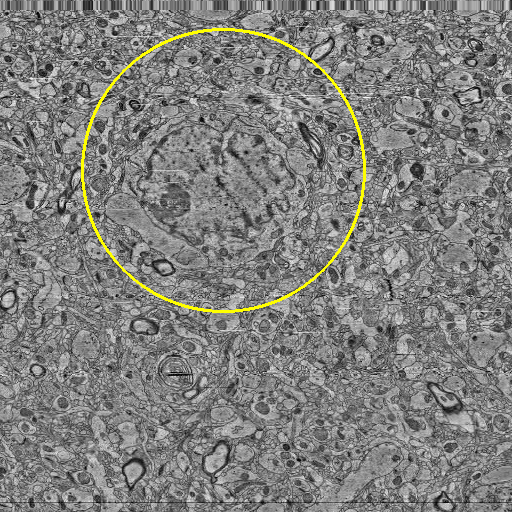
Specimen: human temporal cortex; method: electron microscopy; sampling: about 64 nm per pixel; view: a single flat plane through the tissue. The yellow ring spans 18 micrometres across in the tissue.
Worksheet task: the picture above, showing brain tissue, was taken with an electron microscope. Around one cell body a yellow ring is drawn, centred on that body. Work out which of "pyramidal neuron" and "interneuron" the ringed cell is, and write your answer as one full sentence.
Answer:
It is an interneuron whose cell body lies at the centre of the yellow ring.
